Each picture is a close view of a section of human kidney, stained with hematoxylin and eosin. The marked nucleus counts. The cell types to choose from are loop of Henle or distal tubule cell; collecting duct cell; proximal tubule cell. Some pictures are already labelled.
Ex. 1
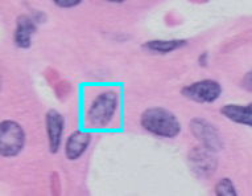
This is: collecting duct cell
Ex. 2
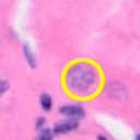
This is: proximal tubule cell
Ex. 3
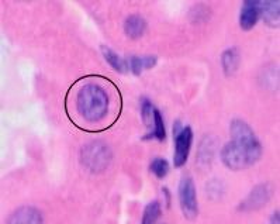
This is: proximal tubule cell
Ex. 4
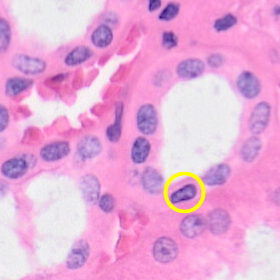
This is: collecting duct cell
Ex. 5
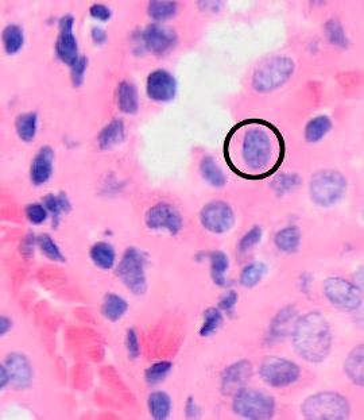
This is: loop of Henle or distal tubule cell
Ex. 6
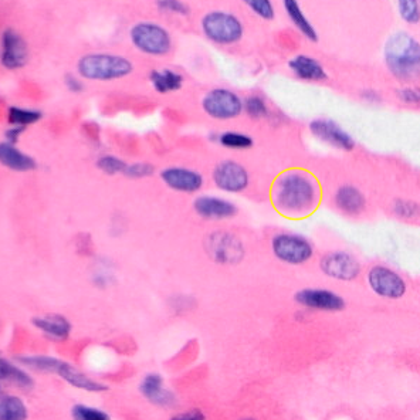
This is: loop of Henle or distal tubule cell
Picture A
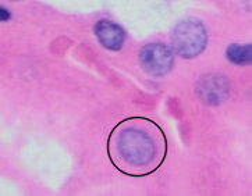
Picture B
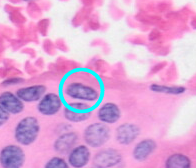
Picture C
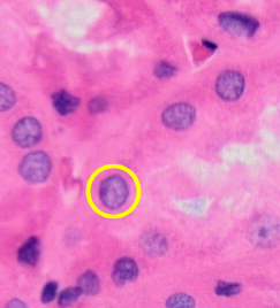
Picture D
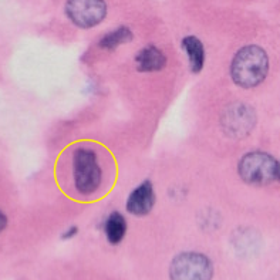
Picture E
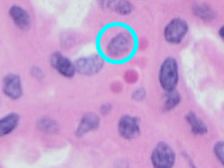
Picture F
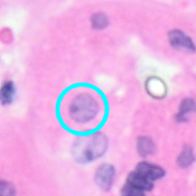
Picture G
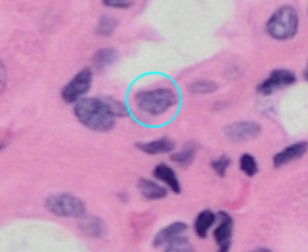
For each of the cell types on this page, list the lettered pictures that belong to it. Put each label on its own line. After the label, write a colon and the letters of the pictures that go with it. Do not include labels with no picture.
collecting duct cell: B, E, G
proximal tubule cell: A, C, D, F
